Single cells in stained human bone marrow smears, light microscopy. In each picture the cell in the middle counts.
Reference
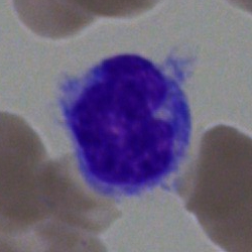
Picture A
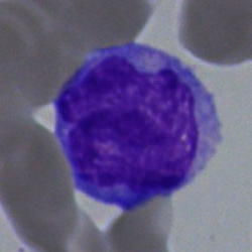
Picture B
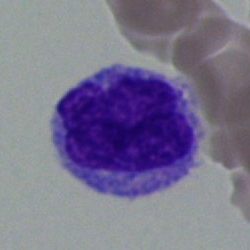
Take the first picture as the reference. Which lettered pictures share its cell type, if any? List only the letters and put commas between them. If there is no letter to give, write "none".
A, B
